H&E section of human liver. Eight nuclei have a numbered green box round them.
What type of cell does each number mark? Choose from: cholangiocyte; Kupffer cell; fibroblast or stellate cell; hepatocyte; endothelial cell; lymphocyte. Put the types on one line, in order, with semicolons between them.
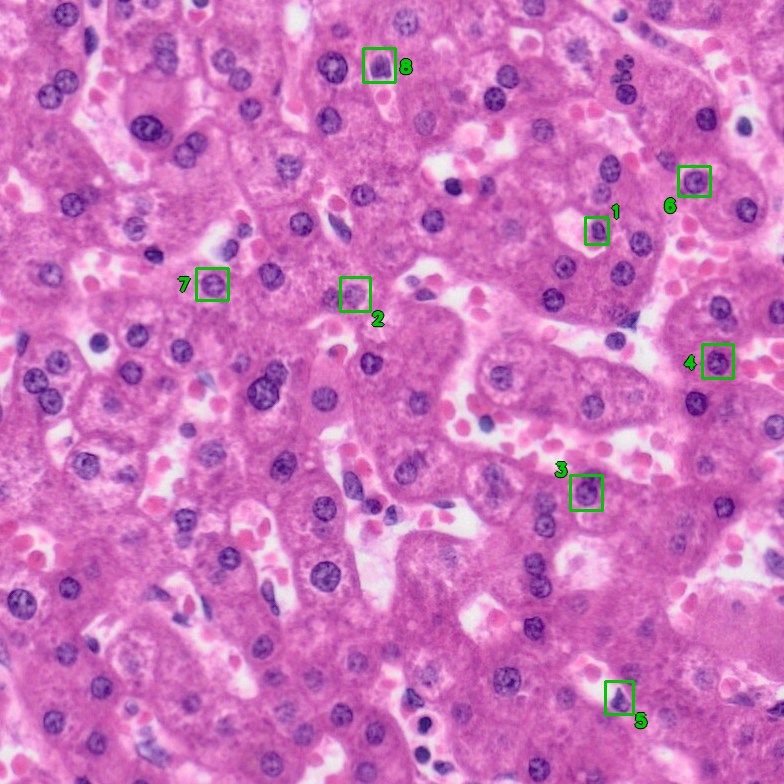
Kupffer cell; hepatocyte; hepatocyte; hepatocyte; endothelial cell; hepatocyte; hepatocyte; endothelial cell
